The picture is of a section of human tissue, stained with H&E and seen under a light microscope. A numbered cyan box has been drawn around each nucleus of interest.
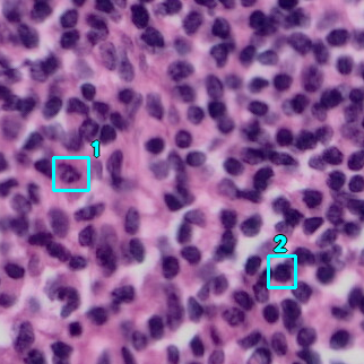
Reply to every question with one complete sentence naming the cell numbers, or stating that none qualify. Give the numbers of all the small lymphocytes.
The nucleus labelled 2 alone belongs to a small lymphocyte; the other marked nuclei do not.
